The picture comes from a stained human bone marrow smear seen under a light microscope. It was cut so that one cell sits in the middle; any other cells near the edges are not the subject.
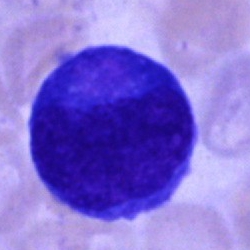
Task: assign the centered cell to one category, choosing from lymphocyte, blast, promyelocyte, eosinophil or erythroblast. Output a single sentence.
This crop has a blast at its centre.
